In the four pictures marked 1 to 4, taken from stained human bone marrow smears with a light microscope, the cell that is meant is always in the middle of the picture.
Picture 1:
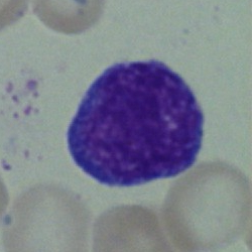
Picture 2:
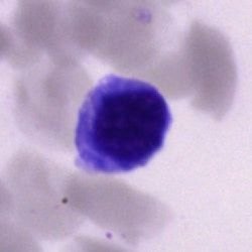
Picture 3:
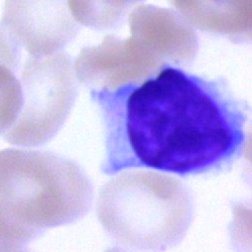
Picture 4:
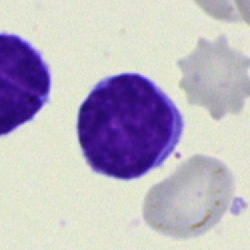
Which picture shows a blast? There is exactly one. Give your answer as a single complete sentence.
It is picture 1 that shows the blast.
